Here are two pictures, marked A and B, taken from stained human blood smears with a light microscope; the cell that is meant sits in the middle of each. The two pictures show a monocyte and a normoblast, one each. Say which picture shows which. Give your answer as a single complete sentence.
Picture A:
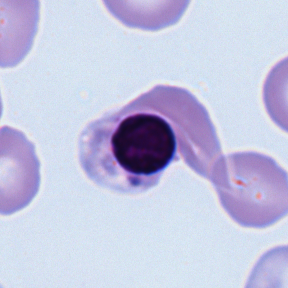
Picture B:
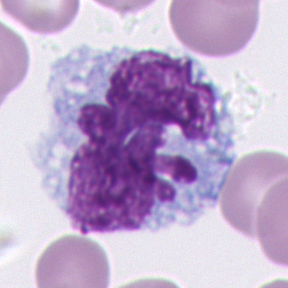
Picture A shows a normoblast and picture B shows a monocyte.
